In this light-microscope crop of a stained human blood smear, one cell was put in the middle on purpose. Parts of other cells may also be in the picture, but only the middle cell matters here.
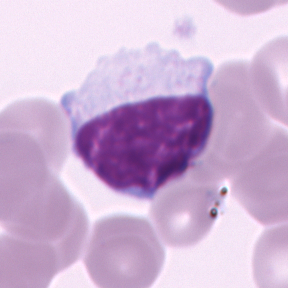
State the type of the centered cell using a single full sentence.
In the middle of this smear crop is a large granular lymphocyte.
